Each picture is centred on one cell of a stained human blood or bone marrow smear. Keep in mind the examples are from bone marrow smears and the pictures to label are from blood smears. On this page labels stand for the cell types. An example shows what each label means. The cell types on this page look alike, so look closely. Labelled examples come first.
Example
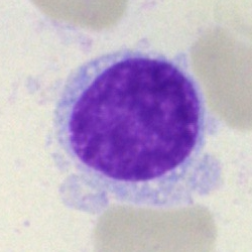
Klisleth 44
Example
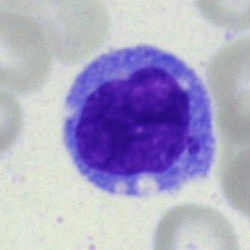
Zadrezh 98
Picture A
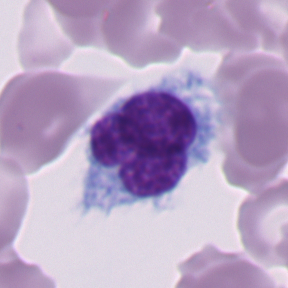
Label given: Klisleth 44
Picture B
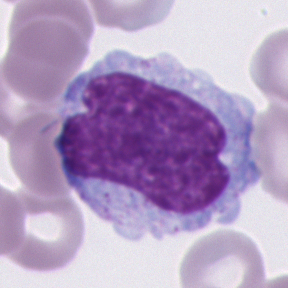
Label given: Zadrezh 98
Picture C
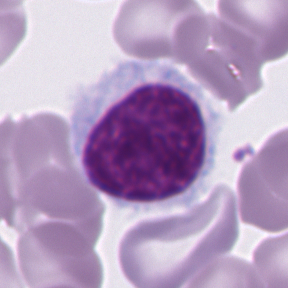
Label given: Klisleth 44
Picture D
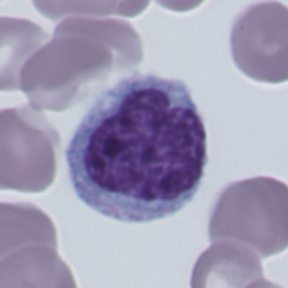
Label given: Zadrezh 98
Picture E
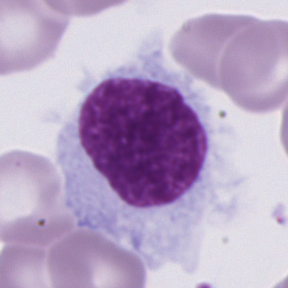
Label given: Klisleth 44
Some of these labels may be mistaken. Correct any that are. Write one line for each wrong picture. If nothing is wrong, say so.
None of the labels needs changing.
